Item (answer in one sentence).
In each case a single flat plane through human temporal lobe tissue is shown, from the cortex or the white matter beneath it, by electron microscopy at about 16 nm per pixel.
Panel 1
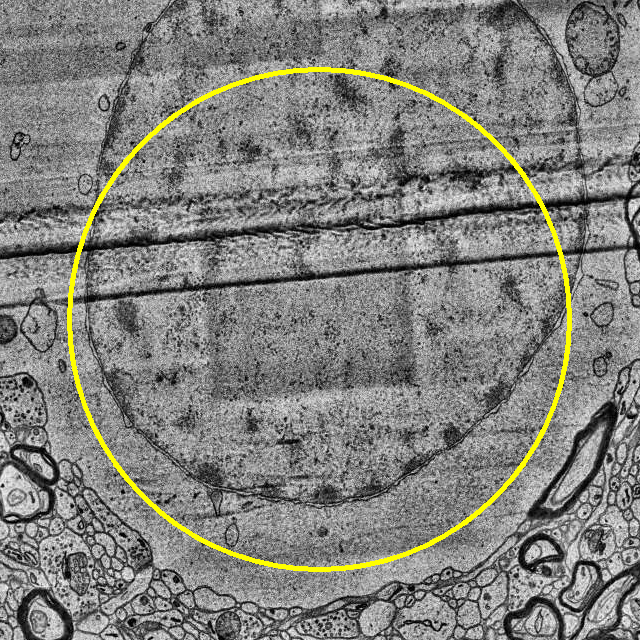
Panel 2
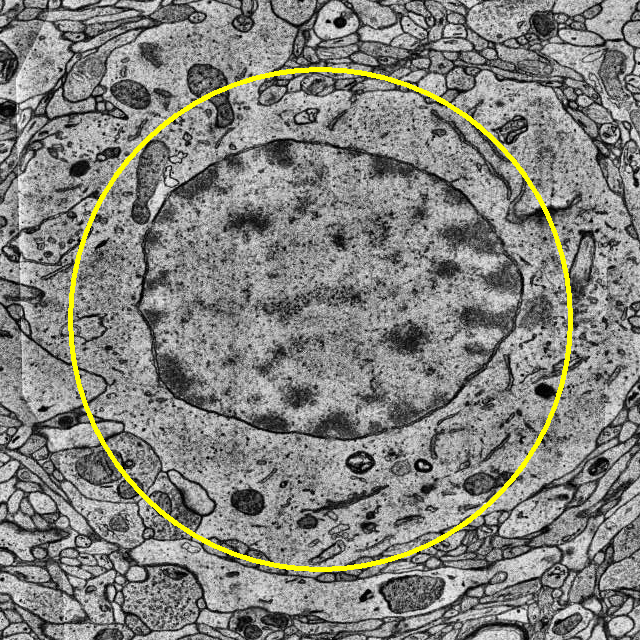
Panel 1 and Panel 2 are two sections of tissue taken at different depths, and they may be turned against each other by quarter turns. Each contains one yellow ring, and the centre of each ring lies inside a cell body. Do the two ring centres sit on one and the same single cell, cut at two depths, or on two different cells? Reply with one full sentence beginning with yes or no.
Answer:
No, two different cells appear inside the two yellow rings.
